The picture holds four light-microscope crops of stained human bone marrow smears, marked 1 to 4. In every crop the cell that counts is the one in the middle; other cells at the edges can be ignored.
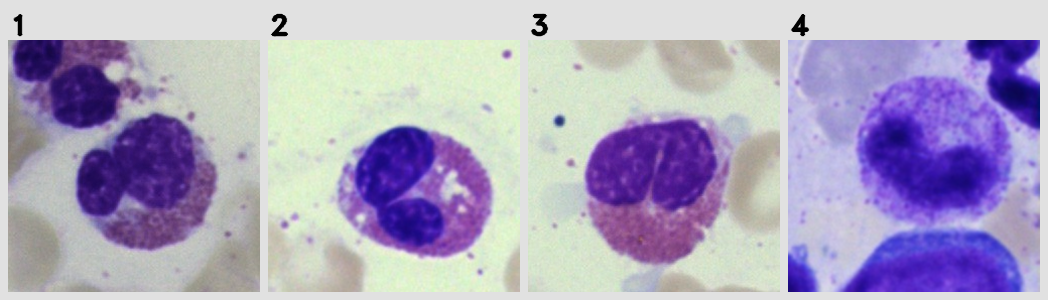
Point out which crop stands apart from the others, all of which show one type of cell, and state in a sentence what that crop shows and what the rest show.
Crop 4 is the only one that is a metamyelocyte; all the others show eosinophils.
